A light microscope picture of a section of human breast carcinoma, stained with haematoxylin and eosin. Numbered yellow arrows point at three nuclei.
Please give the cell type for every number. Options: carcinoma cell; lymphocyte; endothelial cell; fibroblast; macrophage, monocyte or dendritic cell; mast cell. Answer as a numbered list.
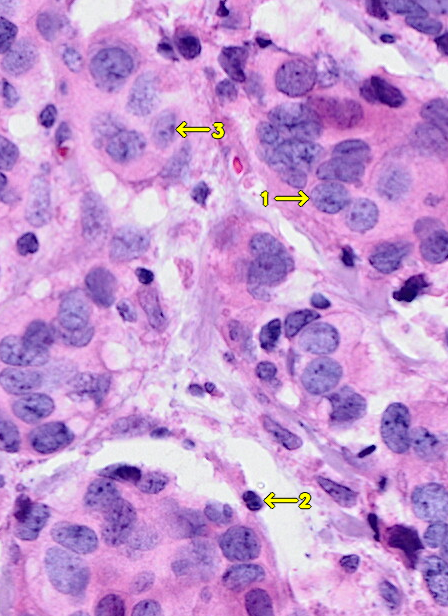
1. carcinoma cell
2. lymphocyte
3. carcinoma cell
